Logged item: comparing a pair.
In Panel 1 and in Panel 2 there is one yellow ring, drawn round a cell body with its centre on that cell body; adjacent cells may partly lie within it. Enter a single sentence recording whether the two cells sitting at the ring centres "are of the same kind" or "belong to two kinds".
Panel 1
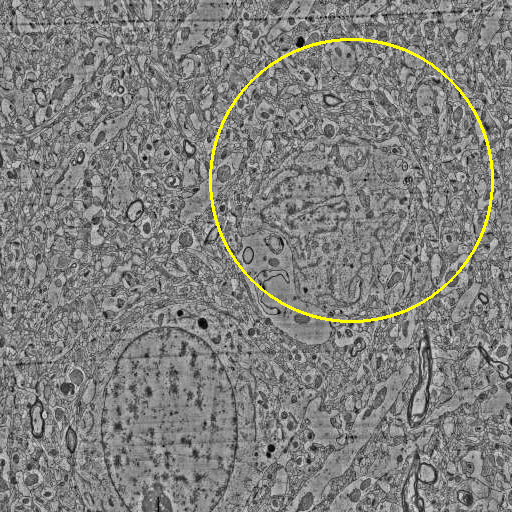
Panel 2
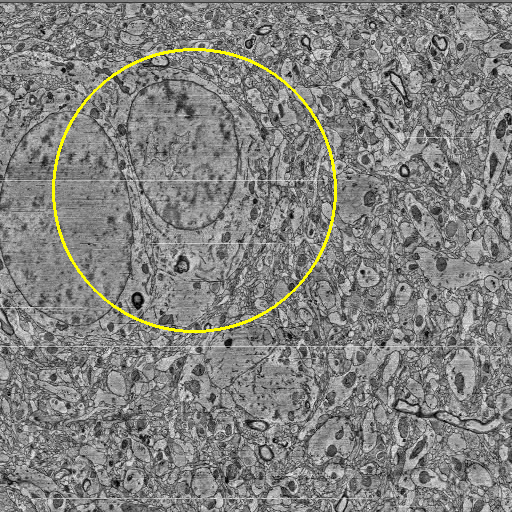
Logged: the cells centred in the rings of Panel 1 and Panel 2 belong to two kinds.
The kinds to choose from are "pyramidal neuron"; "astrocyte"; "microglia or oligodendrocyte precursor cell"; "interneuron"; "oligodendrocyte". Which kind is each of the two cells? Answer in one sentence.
Of the two, the first cell is an interneuron and the second cell is a pyramidal neuron.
